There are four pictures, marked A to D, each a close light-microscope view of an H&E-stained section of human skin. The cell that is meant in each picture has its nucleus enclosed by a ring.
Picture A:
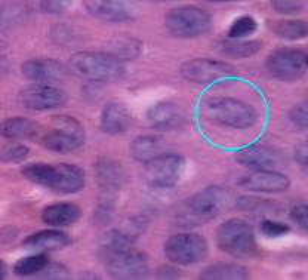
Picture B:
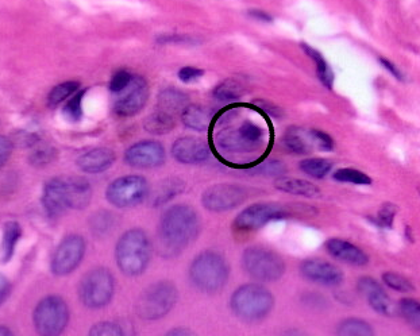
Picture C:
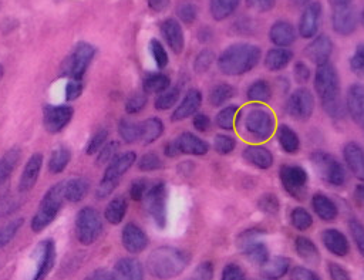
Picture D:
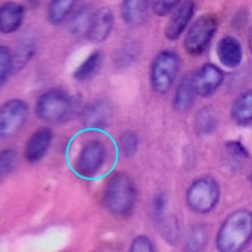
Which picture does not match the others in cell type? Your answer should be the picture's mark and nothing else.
A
